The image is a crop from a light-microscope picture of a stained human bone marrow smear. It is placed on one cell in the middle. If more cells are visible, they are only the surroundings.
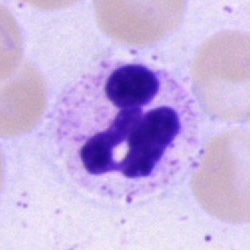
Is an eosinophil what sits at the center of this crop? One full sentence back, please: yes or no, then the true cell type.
No, the cell sitting in the centre of the crop is a segmented neutrophil, not an eosinophil.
